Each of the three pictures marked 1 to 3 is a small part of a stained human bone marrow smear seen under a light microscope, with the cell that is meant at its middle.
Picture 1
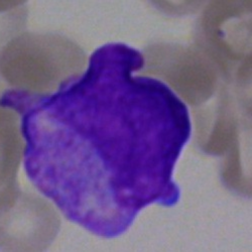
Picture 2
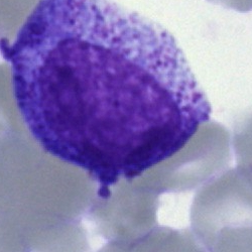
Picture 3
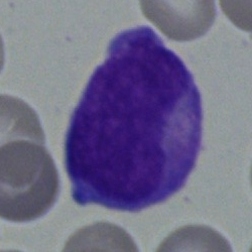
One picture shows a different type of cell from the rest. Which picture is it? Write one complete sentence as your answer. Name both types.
The different one is picture 2; it shows a promyelocyte, whereas all the others show blasts.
